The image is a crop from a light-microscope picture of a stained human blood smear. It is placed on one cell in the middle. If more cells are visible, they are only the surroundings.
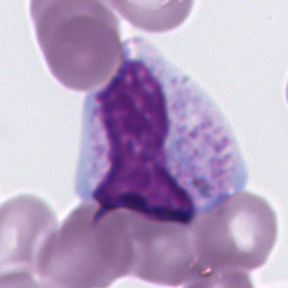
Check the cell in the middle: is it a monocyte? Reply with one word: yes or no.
no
